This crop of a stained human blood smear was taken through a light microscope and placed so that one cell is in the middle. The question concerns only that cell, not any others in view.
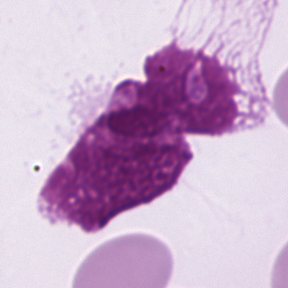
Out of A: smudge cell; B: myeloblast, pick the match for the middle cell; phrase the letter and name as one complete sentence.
The central cell, a smudge cell, is correctly identified by option A.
